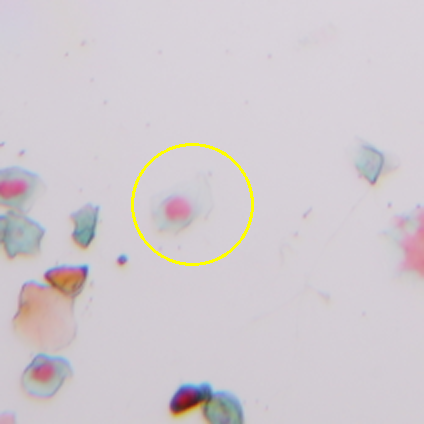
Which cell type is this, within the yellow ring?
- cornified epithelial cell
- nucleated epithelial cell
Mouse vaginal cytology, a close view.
Within the ring is a nucleated epithelial cell.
